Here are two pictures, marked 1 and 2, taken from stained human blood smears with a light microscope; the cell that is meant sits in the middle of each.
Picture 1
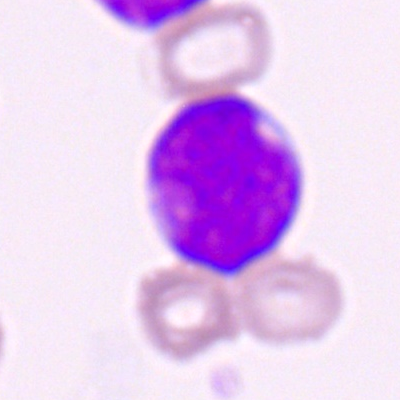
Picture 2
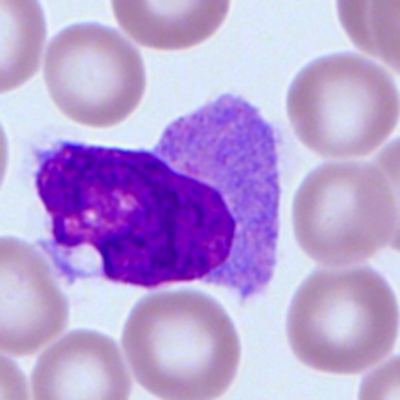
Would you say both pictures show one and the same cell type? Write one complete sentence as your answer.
No. Picture 1 shows a myeloblast, but picture 2 shows a monocyte.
